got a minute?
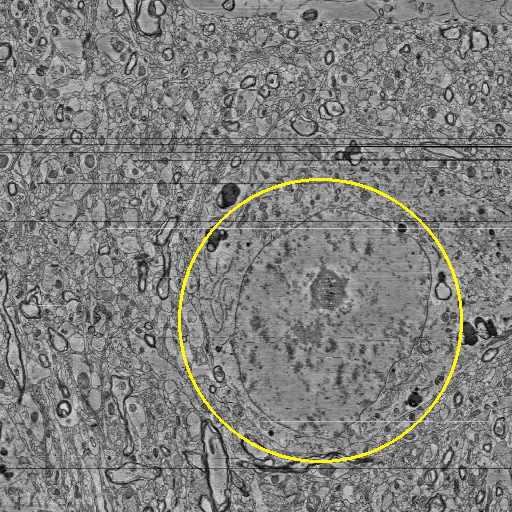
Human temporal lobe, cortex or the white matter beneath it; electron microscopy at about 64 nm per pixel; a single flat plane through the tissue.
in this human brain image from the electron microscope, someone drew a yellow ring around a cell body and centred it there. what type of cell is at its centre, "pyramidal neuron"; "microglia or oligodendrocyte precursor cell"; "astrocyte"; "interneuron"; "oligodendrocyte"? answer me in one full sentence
It's a pyramidal neuron at the middle of that yellow ring in the shot.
